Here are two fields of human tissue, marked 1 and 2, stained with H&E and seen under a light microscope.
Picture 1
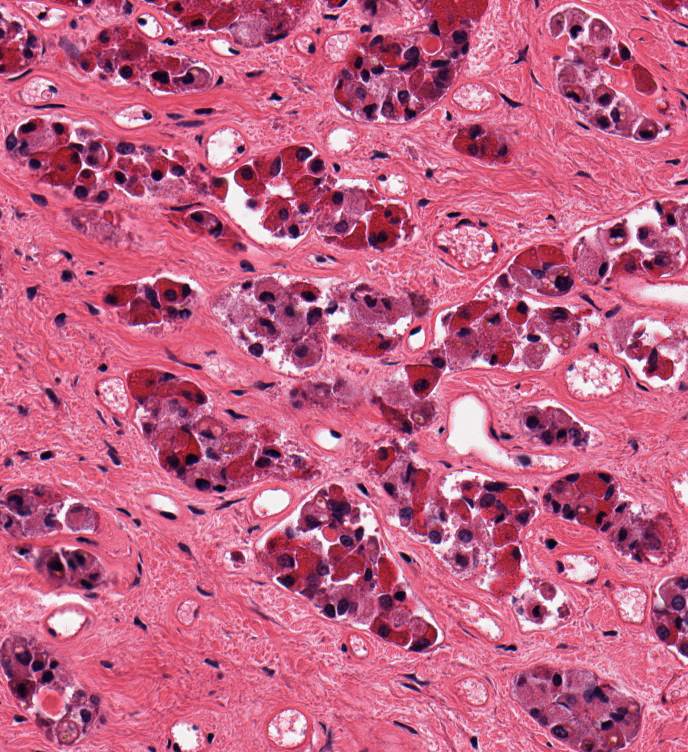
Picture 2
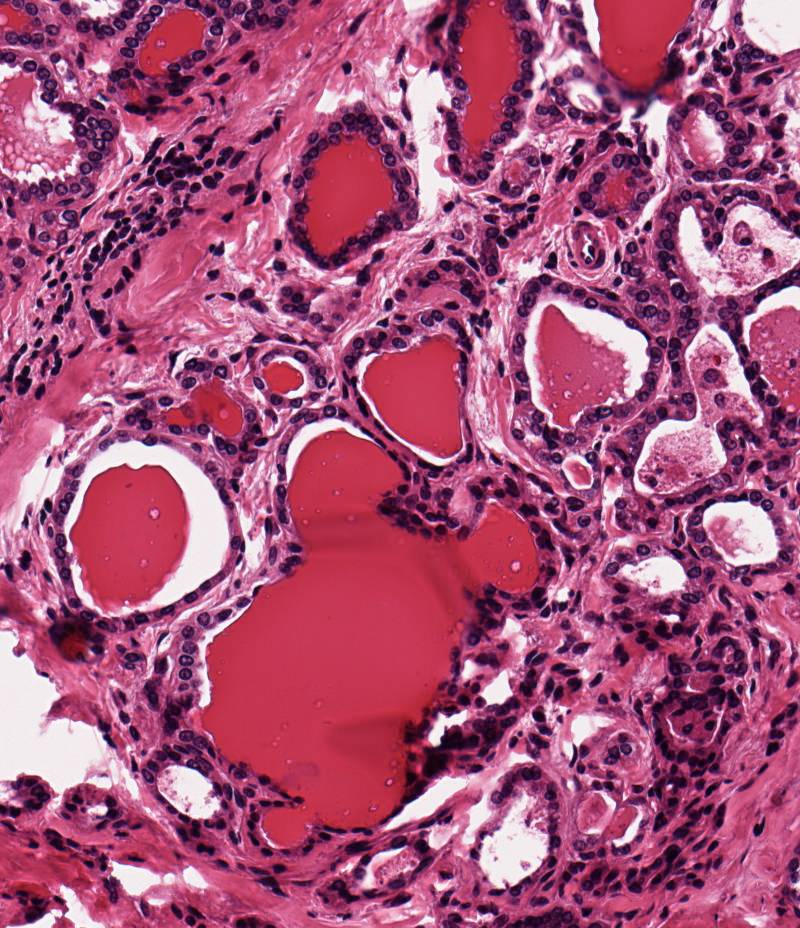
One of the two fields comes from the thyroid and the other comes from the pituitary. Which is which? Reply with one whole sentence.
Picture 2 comes from the thyroid, while picture 1 comes from the pituitary.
